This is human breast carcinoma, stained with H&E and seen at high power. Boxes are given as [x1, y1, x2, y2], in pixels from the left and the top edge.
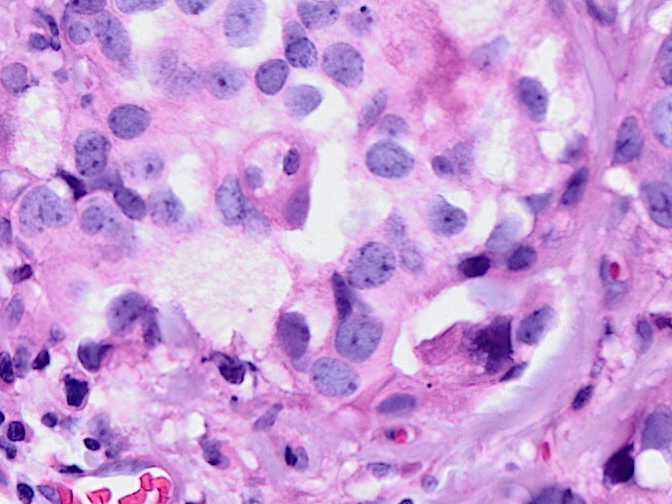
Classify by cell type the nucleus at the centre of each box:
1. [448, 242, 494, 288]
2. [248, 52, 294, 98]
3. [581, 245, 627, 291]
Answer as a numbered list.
1. carcinoma cell
2. carcinoma cell
3. endothelial cell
